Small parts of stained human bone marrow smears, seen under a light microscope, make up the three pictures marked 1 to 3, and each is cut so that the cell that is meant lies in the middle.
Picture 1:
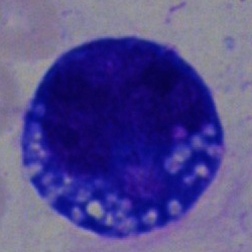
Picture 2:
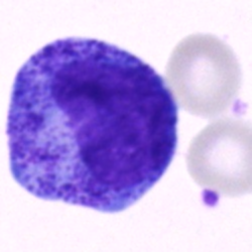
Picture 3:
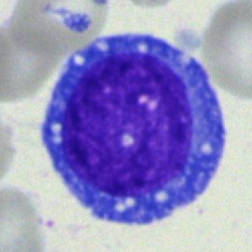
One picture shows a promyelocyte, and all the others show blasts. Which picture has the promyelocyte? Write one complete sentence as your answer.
The picture with the promyelocyte is 2.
